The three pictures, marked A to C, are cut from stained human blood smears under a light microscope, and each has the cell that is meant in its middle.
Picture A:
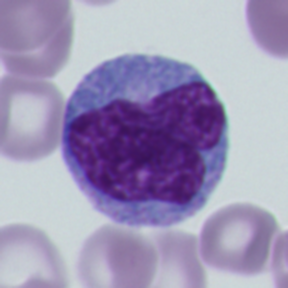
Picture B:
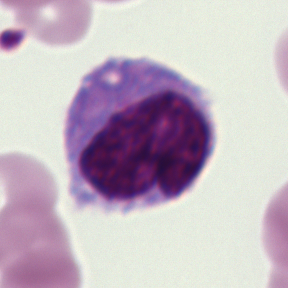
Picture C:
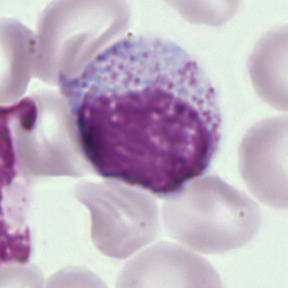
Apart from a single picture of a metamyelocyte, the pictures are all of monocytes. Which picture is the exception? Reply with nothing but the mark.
C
